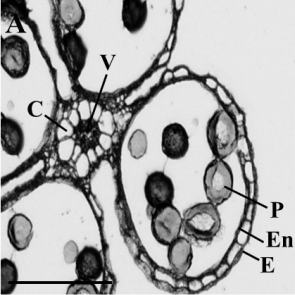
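This transverse section of an anther shows a central connective tissue with a vascular bundle, surrounded by rounded locules that hold pollen grains. The connective is made of small polygonal cells with a compact cluster of darker cells at its centre marking the vascular bundle. Each locule is bounded by a thin wall of two cell layers, an outer epidermis and an inner endothecium, both of flattened to rounded cells. Pollen grains lie loosely within the locule cavity, round to slightly collapsed, with dark, thick outlines. The locules are still closed, with no break in their walls.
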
